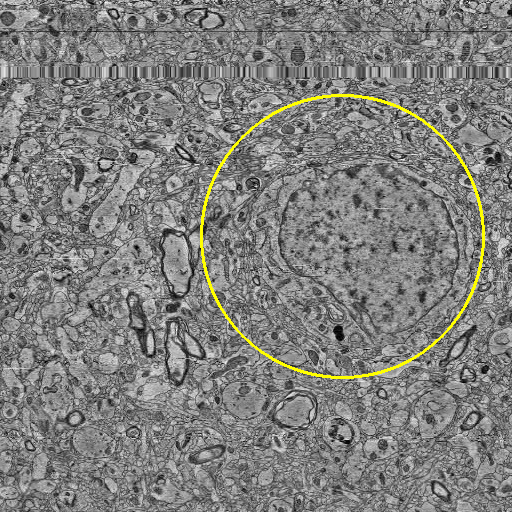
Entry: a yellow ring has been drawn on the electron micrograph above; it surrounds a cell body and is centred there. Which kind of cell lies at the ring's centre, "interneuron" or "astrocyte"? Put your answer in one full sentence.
The cell sitting at the ring's centre is an interneuron in the micrograph above.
